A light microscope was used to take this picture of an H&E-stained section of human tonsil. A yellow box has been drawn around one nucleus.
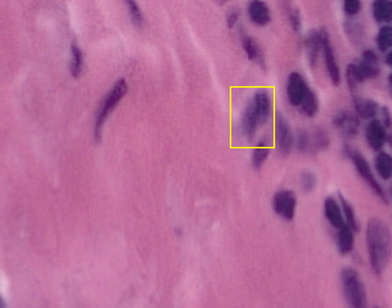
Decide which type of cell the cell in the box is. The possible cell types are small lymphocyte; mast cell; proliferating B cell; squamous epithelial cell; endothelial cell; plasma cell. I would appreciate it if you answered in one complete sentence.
In this tissue sample, the cell in the box is an endothelial cell.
